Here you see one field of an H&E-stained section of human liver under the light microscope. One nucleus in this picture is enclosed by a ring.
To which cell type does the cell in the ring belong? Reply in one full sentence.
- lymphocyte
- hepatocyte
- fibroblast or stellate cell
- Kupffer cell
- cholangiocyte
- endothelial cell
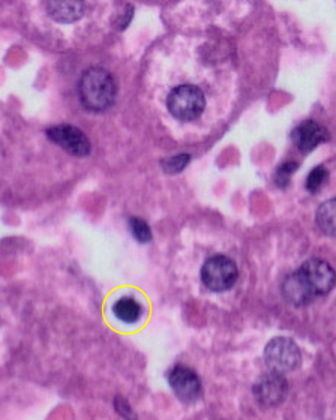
Microscopically, the cell in the ring is categorized as a lymphocyte.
